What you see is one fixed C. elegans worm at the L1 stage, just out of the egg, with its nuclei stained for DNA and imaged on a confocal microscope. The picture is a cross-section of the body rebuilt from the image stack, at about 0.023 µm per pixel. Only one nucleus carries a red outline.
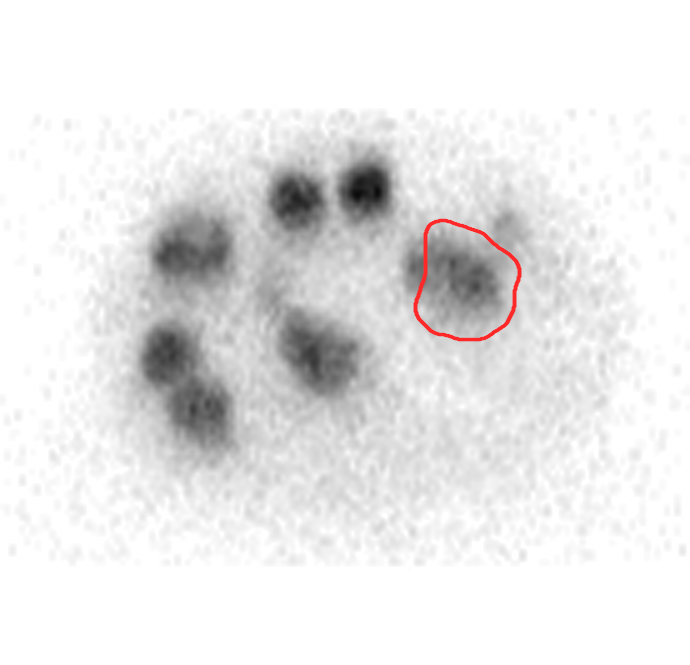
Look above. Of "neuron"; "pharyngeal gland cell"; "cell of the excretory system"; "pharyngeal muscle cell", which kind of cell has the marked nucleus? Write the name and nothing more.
pharyngeal gland cell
